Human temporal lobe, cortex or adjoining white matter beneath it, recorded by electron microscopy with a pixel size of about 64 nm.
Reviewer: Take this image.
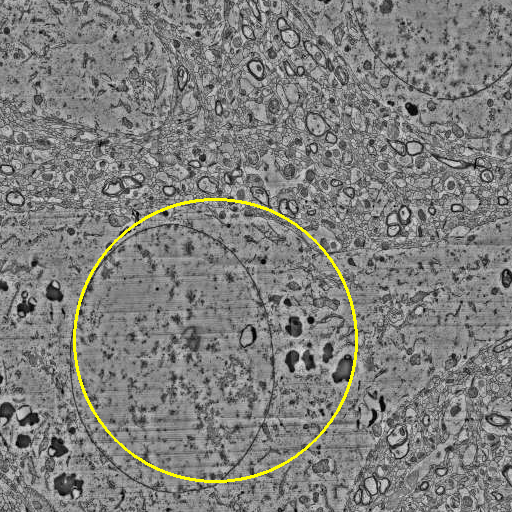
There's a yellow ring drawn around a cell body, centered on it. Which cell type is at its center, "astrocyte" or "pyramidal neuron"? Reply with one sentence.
At the center of the yellow ring is a pyramidal neuron.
